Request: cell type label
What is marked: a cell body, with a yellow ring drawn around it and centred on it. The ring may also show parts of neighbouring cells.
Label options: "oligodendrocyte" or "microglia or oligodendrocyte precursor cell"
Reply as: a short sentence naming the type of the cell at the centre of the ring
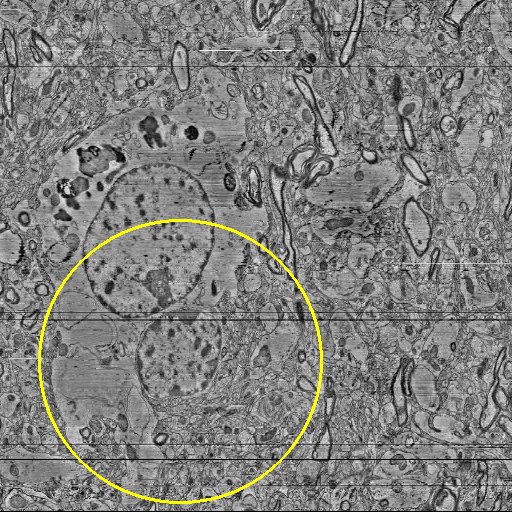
The marked cell body is that of a microglial cell or oligodendrocyte precursor cell.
